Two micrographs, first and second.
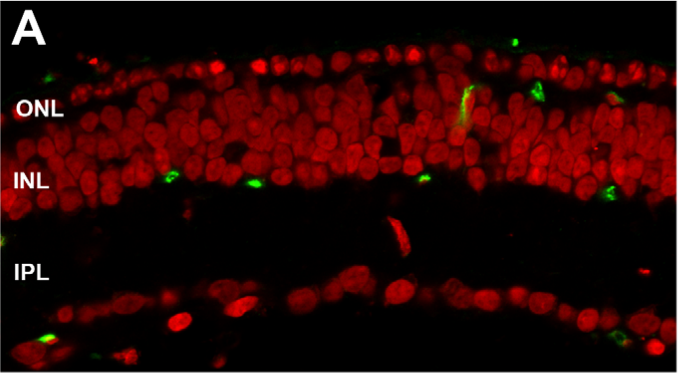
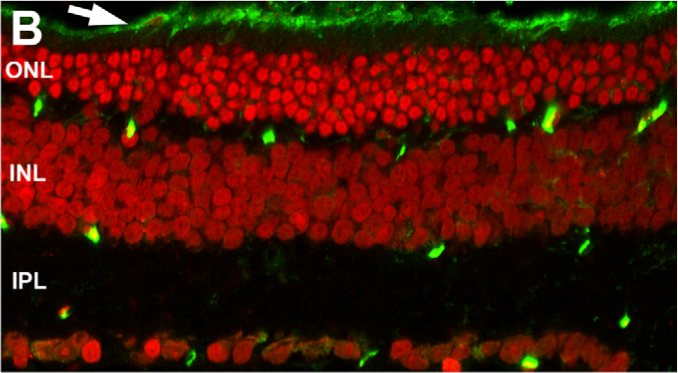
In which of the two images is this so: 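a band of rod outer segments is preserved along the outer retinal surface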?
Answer: the second image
